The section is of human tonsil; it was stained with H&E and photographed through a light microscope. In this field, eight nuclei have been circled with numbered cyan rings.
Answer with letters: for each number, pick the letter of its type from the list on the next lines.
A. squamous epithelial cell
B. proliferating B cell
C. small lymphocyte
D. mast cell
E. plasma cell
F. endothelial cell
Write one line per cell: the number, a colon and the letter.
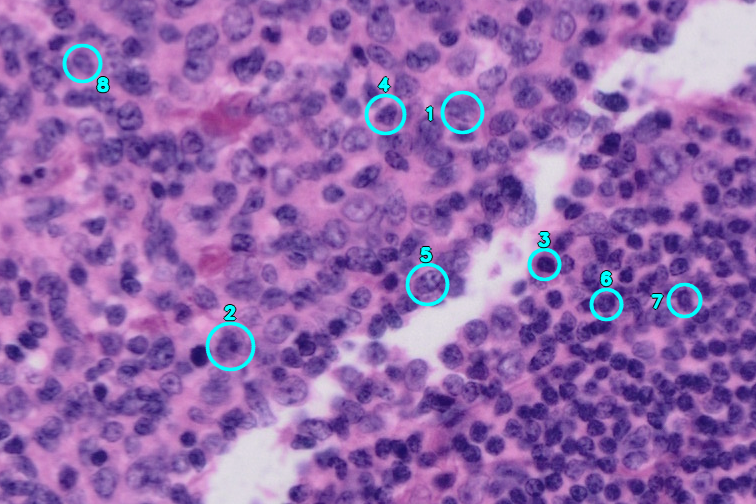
1: B
2: B
3: E
4: B
5: B
6: C
7: C
8: B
